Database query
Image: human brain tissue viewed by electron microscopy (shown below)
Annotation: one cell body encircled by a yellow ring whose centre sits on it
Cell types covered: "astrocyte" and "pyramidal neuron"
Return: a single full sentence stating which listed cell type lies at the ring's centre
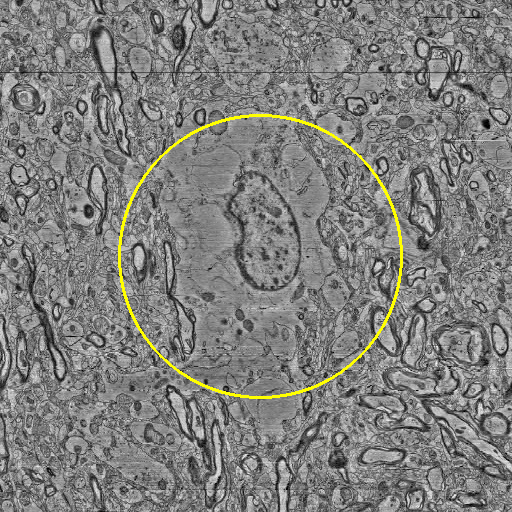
In the image, the cell lying at the ring's centre is an astrocyte.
